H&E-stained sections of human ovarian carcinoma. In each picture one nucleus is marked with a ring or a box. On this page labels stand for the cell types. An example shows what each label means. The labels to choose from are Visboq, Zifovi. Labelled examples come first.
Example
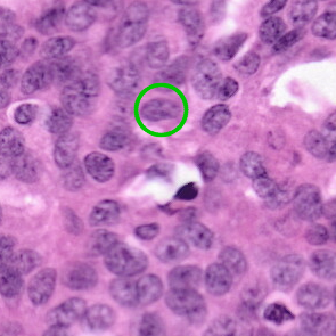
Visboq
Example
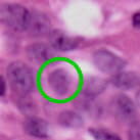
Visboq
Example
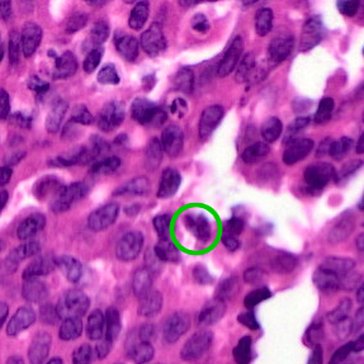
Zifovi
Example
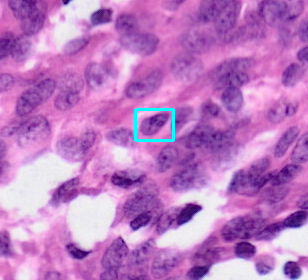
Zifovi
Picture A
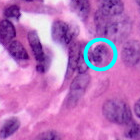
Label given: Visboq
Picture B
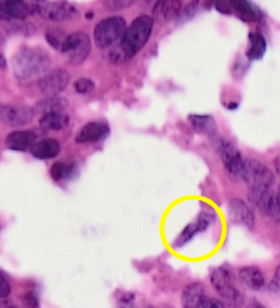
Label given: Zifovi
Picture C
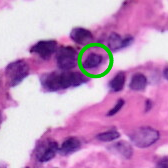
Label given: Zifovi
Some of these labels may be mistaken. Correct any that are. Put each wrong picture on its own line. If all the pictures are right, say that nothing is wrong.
A should be Zifovi, not Visboq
